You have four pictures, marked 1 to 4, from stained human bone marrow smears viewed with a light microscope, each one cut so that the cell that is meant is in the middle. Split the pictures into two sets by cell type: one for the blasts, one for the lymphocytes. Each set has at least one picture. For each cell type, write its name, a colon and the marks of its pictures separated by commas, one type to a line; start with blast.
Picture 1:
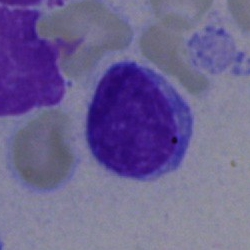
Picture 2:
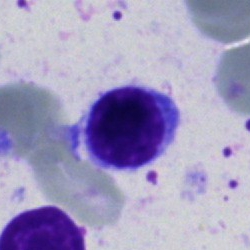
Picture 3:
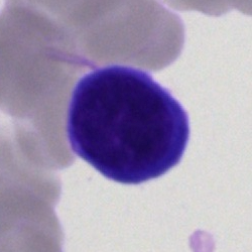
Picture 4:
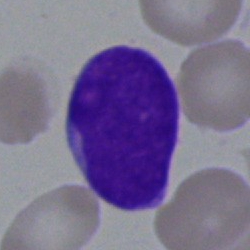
blast: 4
lymphocyte: 1, 2, 3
